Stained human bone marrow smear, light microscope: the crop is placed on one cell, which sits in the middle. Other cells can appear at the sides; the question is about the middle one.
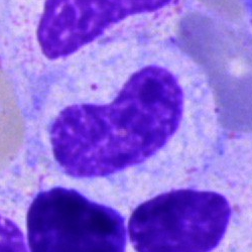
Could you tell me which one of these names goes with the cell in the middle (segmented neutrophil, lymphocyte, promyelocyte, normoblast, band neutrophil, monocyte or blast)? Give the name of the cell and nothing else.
band neutrophil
